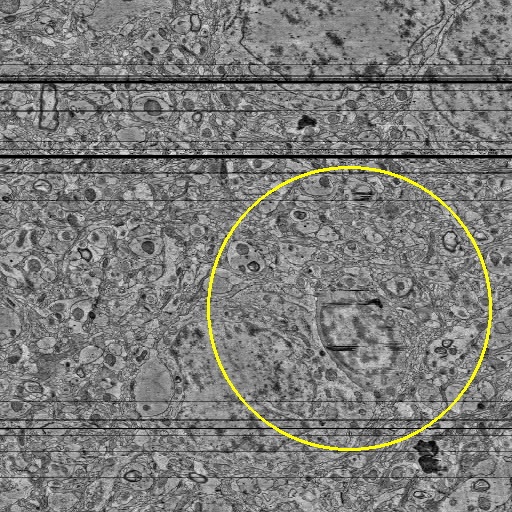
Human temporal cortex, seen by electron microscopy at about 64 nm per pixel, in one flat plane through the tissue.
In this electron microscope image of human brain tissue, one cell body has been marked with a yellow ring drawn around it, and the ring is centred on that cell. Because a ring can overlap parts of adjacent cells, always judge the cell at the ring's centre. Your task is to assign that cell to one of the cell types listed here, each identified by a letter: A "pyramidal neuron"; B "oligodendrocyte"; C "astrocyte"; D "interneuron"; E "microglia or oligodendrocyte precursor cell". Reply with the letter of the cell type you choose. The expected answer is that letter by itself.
B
